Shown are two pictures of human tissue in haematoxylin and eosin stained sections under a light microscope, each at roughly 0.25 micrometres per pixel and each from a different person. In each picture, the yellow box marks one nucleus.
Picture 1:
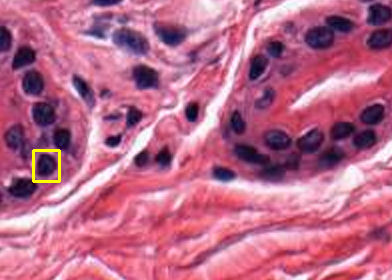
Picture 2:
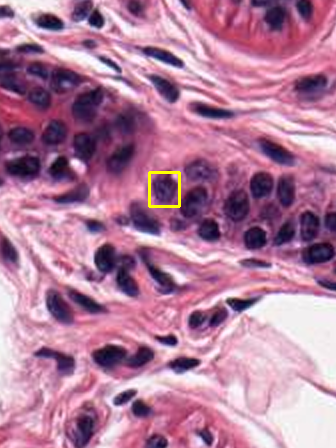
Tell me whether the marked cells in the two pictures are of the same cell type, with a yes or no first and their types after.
Yes, both are sweat gland cells.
